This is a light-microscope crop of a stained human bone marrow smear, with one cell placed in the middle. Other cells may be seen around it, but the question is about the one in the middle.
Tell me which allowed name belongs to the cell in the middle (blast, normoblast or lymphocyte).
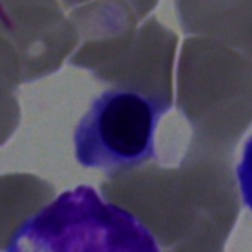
normoblast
